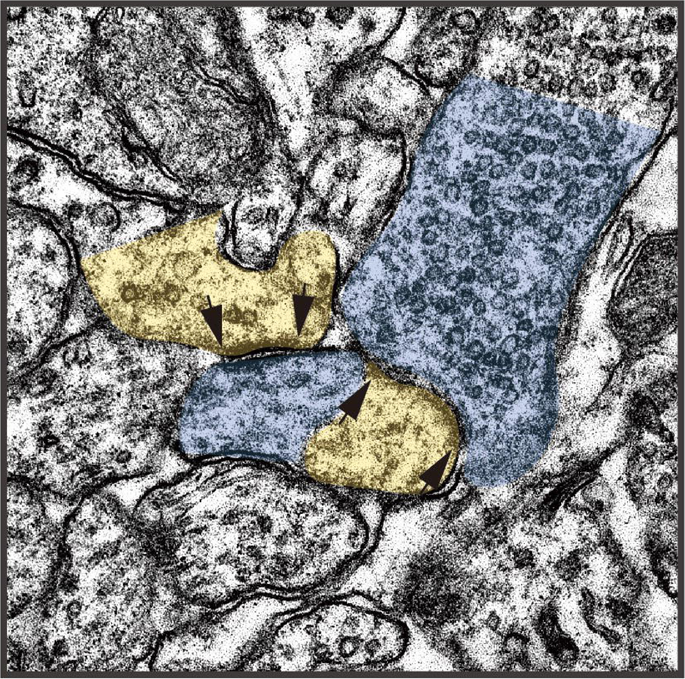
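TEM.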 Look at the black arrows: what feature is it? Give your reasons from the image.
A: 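Synaptic densities. Pairs of black arrows sit at the junction between a blue-tinted and a yellow-tinted profile. Between each arrow pair the membrane on the yellow side is darkened and thickened.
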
